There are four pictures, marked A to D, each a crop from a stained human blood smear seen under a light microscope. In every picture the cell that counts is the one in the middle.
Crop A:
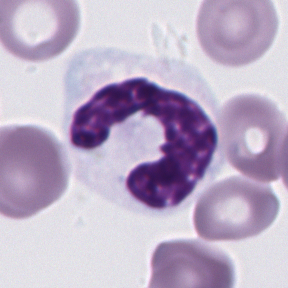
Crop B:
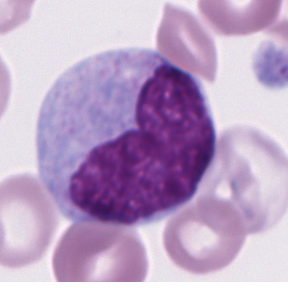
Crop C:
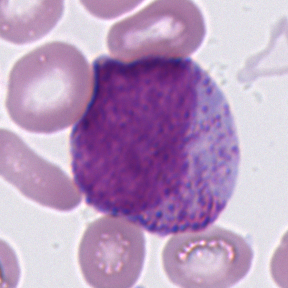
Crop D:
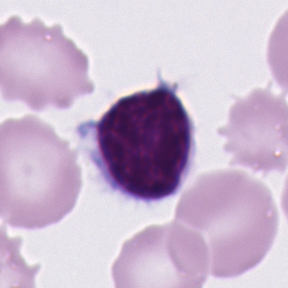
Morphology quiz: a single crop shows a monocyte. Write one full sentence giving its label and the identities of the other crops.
Regarding crop B, it shows a monocyte, while crop A is a band neutrophil, crop C is a promyelocyte and crop D is a hairy cell.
